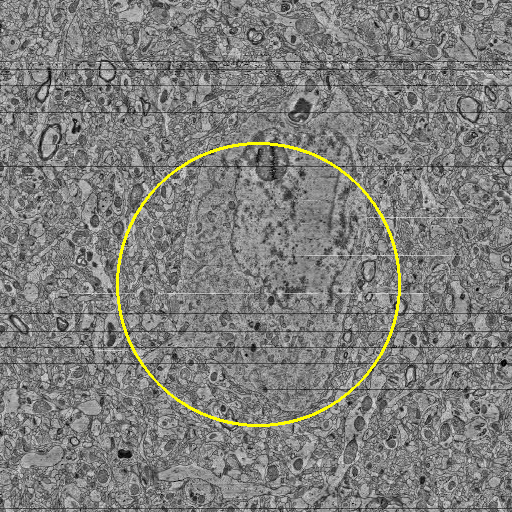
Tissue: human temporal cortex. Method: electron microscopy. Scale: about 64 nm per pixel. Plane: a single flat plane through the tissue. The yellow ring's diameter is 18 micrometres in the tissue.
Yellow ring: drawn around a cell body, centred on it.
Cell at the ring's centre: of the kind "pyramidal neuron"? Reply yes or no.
no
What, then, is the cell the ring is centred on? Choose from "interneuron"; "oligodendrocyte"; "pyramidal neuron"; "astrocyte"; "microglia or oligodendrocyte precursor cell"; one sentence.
The cell marked by the ring is an interneuron.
